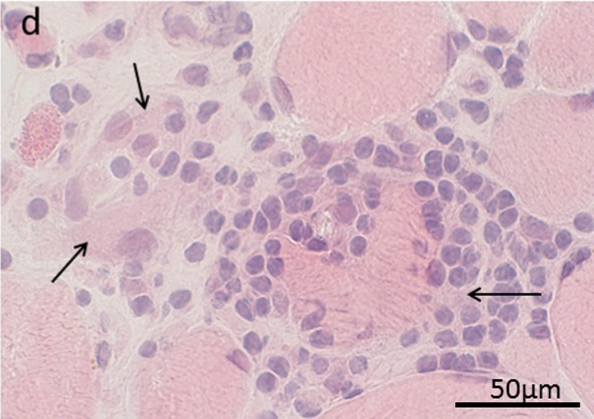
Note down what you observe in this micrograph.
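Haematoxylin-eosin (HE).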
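Dense sheets of small inflammatory cells with round dark purple nuclei and little cytoplasm fill the space between several pink fibres. At more than one place the crowd of cells presses into a fibre, and paler, semi-opaque material lies among the cells near the fibre edges.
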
